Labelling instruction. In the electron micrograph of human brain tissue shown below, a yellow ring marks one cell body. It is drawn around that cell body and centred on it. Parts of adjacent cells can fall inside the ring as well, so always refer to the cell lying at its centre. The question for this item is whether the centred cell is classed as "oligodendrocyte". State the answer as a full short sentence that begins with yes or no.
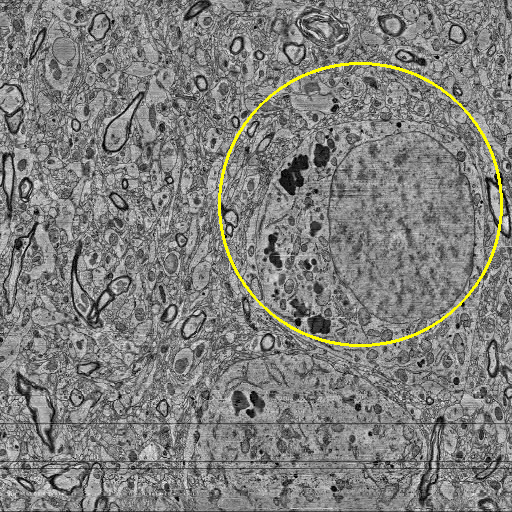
No, the centred cell belongs to another class.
